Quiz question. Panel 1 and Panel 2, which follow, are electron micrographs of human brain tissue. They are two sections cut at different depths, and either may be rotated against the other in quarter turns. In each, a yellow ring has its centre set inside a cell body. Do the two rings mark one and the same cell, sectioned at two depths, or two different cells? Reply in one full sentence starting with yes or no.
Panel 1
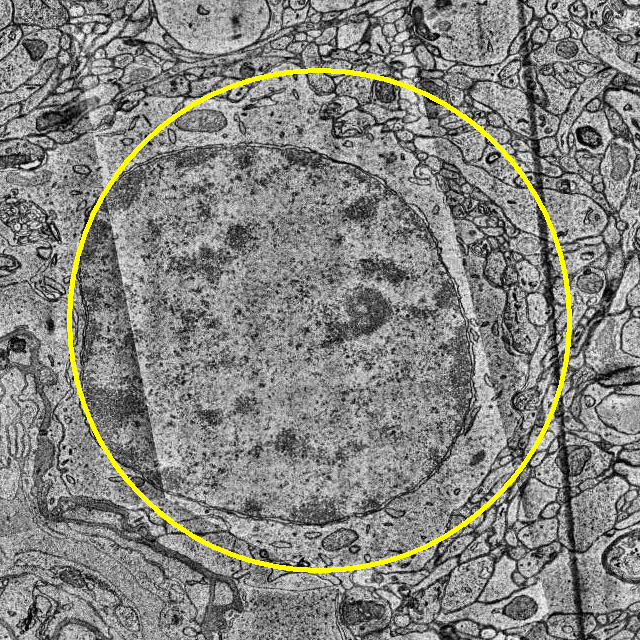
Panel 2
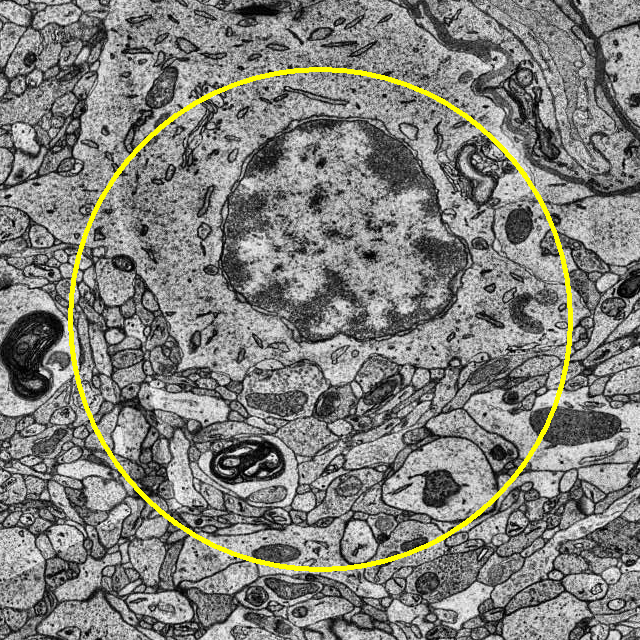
Yes, the cell inside the first ring is the cell inside the second.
